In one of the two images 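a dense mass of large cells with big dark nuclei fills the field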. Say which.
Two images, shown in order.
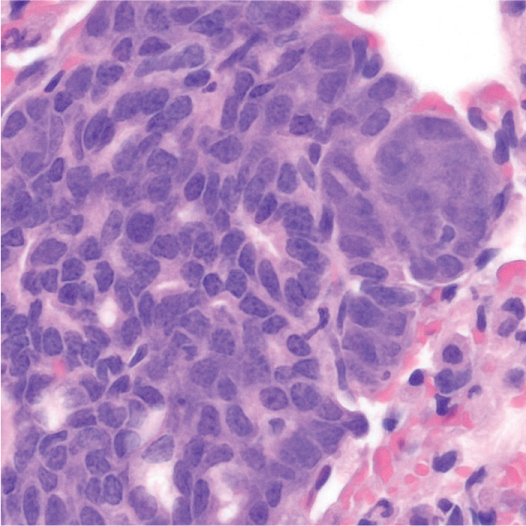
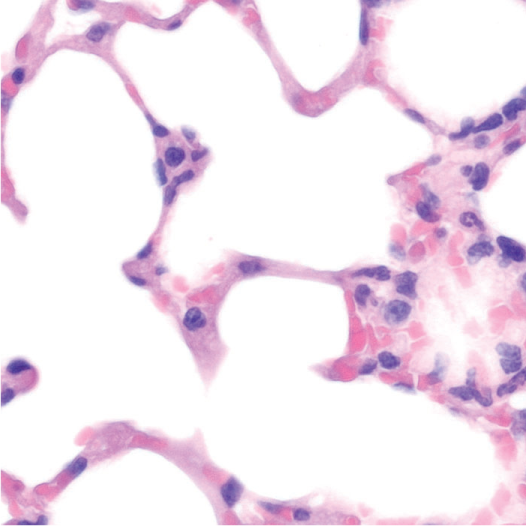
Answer: The first image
